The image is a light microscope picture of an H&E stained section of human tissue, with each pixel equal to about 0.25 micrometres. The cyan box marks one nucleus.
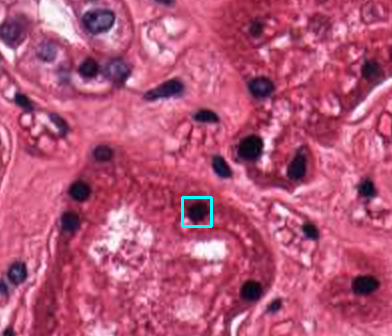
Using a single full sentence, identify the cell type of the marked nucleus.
The mark falls on a nucleus belonging to a proximal tubule cell.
